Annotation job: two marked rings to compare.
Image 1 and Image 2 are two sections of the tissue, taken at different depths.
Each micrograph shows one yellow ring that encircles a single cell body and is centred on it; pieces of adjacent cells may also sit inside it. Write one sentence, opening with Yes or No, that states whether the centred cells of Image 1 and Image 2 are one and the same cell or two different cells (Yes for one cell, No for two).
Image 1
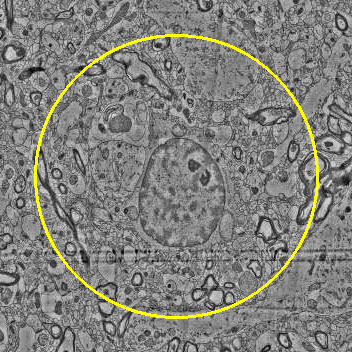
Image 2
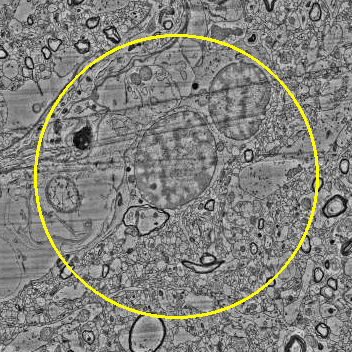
No, the two yellow rings correspond to two separate cells.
